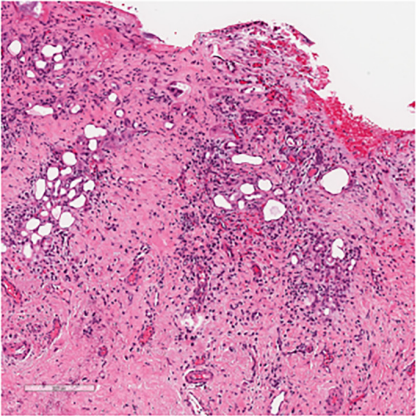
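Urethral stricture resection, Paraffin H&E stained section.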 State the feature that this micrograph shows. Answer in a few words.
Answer: glandular elements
